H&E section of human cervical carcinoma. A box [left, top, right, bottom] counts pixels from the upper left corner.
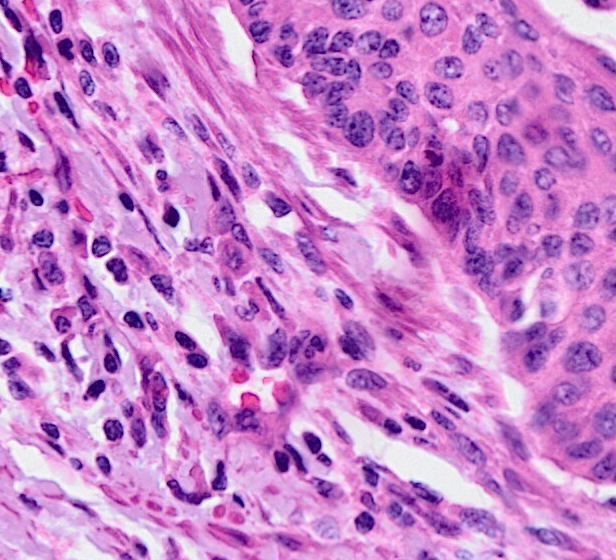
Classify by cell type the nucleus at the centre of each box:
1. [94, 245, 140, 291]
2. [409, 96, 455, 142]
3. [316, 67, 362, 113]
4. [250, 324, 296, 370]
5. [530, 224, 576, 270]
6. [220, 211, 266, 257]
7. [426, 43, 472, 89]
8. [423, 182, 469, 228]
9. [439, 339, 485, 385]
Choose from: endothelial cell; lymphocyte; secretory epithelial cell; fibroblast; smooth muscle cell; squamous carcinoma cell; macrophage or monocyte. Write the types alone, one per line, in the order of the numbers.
lymphocyte
squamous carcinoma cell
squamous carcinoma cell
endothelial cell
squamous carcinoma cell
endothelial cell
squamous carcinoma cell
squamous carcinoma cell
fibroblast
